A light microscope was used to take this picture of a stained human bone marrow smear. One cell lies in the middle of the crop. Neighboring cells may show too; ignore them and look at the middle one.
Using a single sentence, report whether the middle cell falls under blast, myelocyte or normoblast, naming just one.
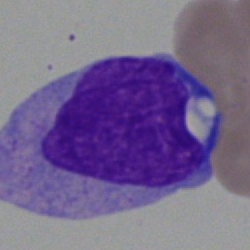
As for the central cell, it is a blast.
